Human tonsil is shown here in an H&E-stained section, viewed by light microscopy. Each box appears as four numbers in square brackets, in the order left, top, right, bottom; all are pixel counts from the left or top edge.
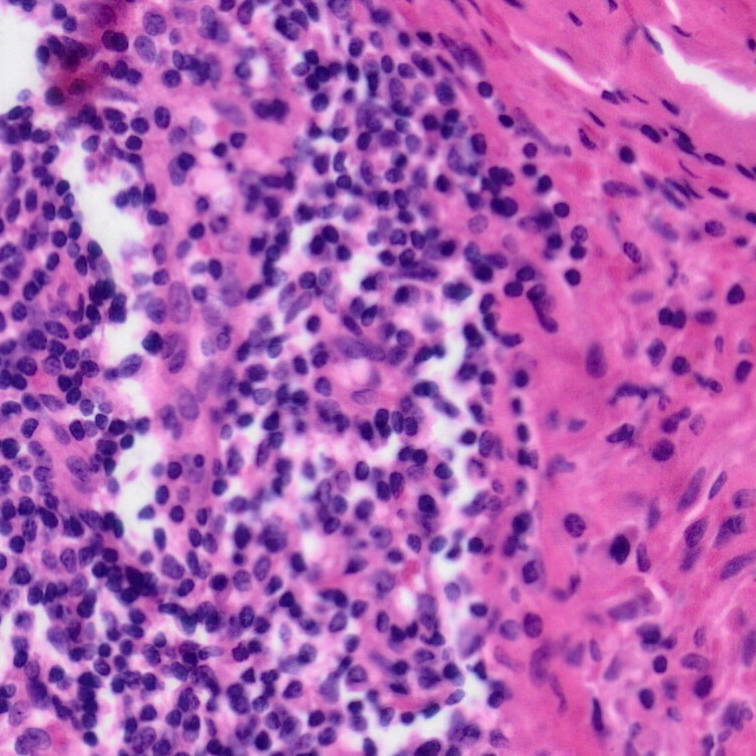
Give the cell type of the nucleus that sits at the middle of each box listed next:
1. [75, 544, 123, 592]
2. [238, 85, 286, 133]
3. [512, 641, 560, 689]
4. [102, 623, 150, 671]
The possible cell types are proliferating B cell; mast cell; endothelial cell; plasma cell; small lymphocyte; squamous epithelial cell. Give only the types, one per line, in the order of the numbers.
small lymphocyte
endothelial cell
endothelial cell
small lymphocyte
